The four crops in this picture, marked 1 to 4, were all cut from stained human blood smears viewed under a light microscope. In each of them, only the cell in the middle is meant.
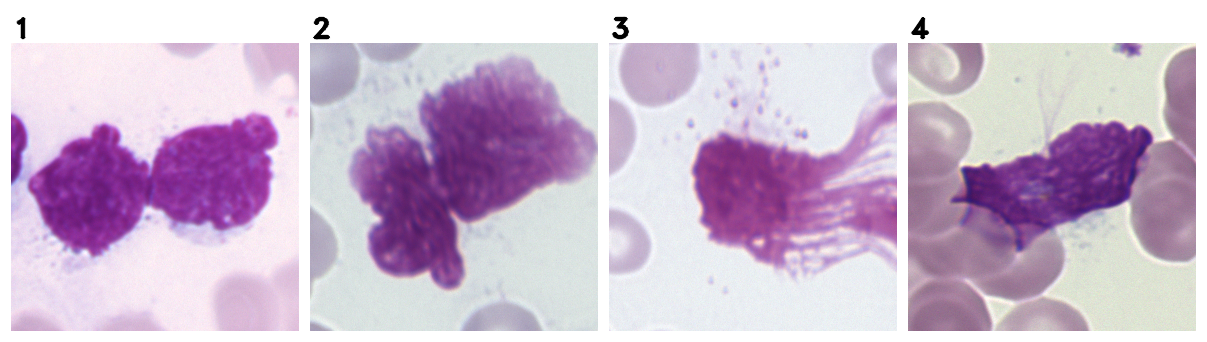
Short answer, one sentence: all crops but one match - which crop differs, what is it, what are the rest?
Although the other crops all show smudge cells, crop 1 shows a myeloblast.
